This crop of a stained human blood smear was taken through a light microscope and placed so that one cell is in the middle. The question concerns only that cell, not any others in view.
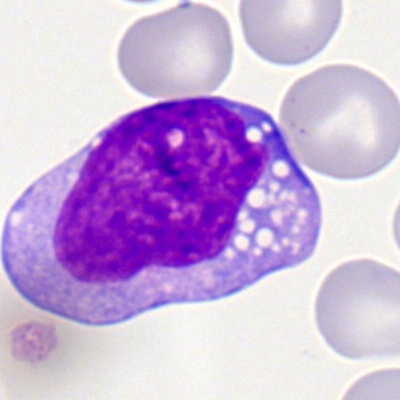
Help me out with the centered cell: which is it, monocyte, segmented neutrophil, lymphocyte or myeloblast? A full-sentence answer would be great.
In the central position of this crop, the cell is a monocyte.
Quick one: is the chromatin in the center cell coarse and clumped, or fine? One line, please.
Coarse clumps are absent, and the chromatin is fine throughout.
